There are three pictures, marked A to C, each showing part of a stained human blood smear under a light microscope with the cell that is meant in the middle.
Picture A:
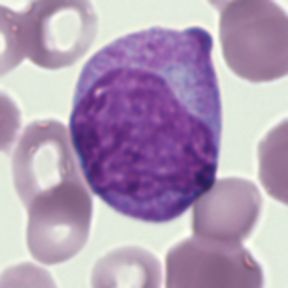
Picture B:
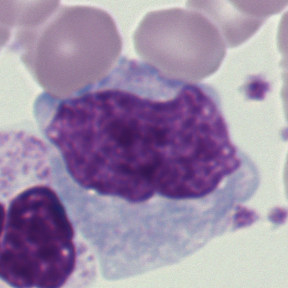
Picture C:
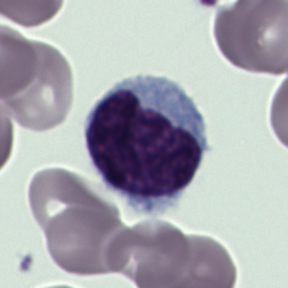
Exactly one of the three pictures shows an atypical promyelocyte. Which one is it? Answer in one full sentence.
Picture A is the one that shows the atypical promyelocyte.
